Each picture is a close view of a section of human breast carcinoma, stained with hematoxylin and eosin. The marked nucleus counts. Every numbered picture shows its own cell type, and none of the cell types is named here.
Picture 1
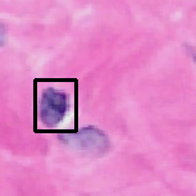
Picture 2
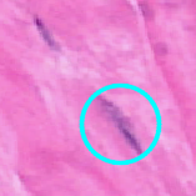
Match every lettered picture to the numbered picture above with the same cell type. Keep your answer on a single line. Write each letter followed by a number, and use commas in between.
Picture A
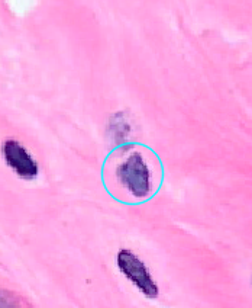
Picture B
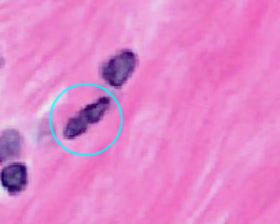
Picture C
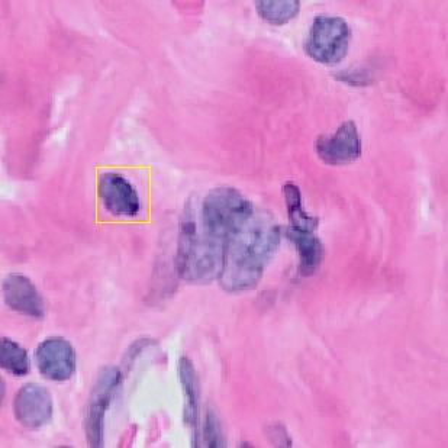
A 1, B 1, C 1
